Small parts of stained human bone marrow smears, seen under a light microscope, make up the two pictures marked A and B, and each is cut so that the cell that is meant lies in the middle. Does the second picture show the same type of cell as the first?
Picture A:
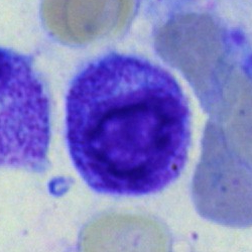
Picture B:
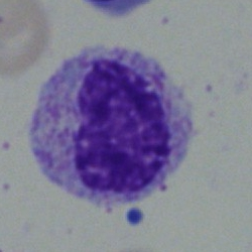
no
